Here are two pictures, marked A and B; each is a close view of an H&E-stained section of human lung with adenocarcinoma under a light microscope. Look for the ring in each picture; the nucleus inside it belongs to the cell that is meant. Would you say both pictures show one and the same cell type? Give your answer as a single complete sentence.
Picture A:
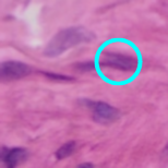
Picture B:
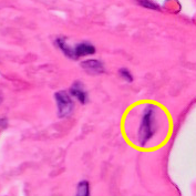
No. Picture A shows a “smooth muscle cell or pericyte”, but picture B shows a fibroblast.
